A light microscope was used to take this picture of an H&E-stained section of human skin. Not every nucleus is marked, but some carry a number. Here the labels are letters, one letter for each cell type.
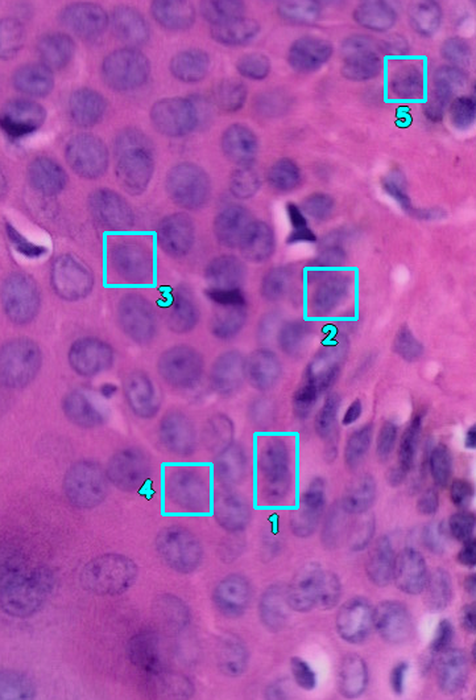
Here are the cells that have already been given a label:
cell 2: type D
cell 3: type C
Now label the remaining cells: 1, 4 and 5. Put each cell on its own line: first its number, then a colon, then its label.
1: type C
4: type C
5: type D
